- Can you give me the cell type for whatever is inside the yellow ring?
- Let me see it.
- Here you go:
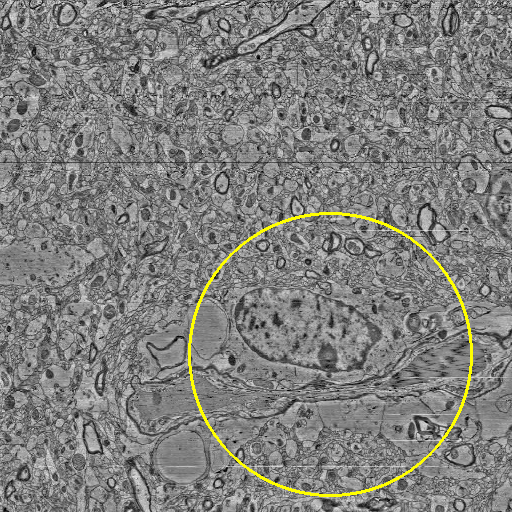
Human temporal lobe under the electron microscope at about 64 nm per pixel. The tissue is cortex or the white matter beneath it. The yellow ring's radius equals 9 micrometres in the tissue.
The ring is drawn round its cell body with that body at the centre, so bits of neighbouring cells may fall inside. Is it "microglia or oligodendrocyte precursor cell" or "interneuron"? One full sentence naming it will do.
The cell body in the middle of the ring in this picture belongs to a microglial cell or oligodendrocyte precursor cell.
